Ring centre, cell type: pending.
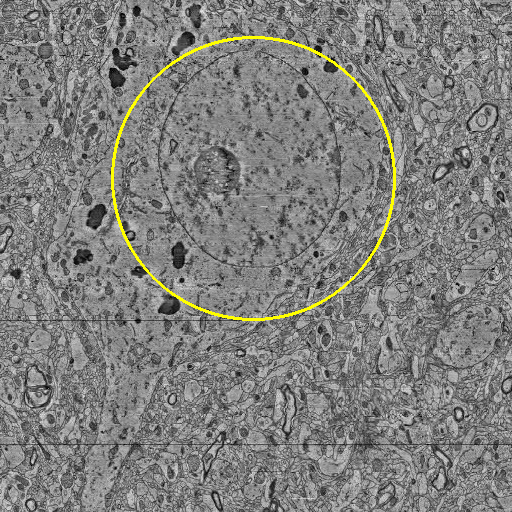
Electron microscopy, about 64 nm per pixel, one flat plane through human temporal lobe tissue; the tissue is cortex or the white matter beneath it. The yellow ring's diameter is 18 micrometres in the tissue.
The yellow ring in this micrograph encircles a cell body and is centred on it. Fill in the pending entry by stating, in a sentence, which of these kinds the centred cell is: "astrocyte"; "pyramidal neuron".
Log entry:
The centred cell is recorded as a pyramidal neuron.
